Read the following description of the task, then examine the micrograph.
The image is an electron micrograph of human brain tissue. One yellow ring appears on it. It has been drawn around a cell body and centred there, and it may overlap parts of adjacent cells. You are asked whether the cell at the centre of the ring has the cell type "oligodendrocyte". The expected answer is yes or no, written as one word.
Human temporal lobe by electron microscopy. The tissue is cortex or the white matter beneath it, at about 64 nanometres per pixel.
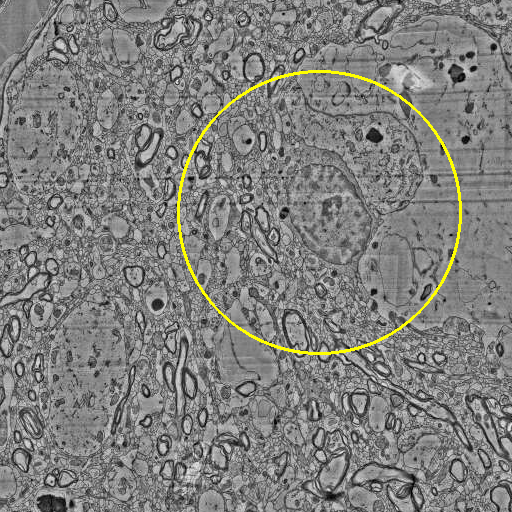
yes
